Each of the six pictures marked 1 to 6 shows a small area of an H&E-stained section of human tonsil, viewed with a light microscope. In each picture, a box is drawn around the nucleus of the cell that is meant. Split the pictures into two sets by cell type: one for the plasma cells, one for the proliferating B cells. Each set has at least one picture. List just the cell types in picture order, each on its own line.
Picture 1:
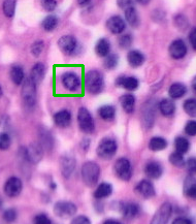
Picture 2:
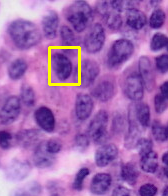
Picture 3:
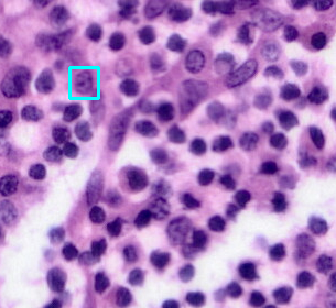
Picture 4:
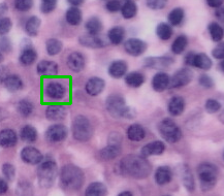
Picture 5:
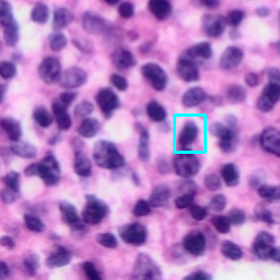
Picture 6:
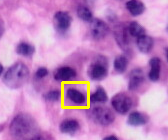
plasma cell
proliferating B cell
plasma cell
plasma cell
proliferating B cell
plasma cell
